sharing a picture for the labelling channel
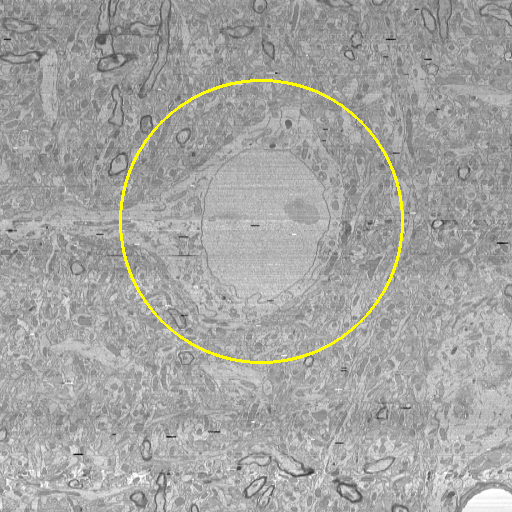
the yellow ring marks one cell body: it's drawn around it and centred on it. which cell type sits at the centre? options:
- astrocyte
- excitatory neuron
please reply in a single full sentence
In the picture, the cell at the ring's centre is an excitatory neuron, going by the list.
